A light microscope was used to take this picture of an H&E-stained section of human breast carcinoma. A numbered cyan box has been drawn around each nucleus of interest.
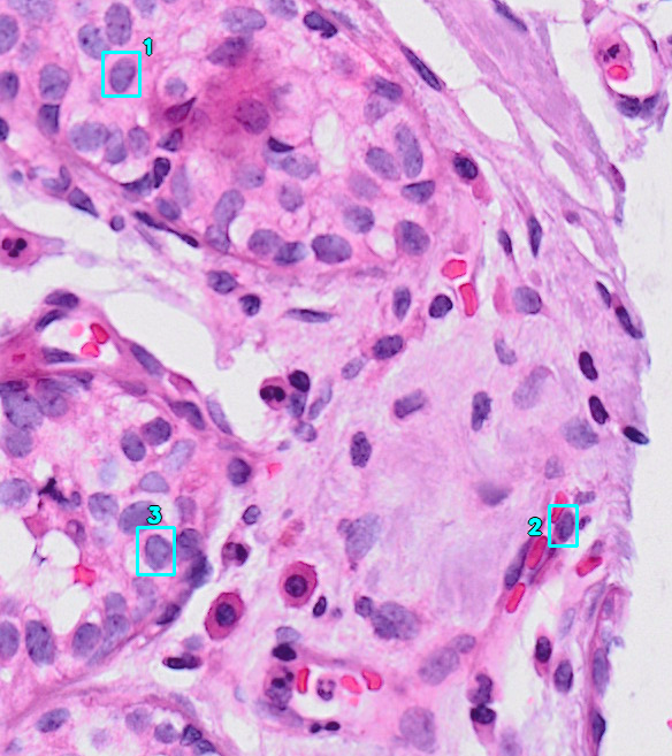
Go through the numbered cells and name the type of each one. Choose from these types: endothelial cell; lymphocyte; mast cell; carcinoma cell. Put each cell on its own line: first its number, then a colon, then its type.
1: carcinoma cell
2: endothelial cell
3: carcinoma cell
